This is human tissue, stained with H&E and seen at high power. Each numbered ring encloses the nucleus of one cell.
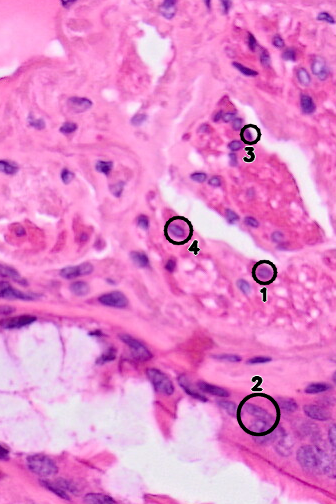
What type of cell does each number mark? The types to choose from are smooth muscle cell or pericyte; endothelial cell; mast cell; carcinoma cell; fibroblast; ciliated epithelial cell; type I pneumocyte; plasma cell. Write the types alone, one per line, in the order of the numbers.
smooth muscle cell or pericyte
ciliated epithelial cell
smooth muscle cell or pericyte
smooth muscle cell or pericyte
